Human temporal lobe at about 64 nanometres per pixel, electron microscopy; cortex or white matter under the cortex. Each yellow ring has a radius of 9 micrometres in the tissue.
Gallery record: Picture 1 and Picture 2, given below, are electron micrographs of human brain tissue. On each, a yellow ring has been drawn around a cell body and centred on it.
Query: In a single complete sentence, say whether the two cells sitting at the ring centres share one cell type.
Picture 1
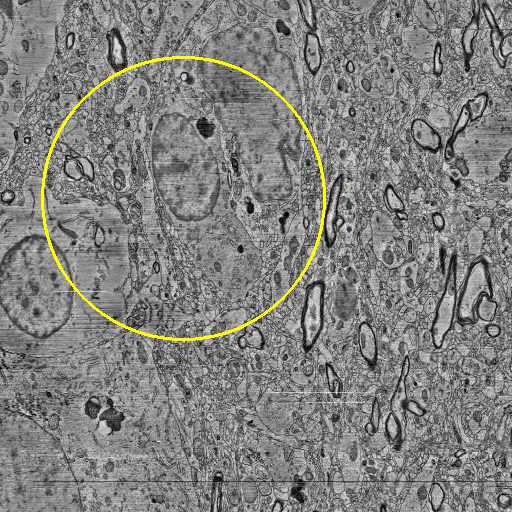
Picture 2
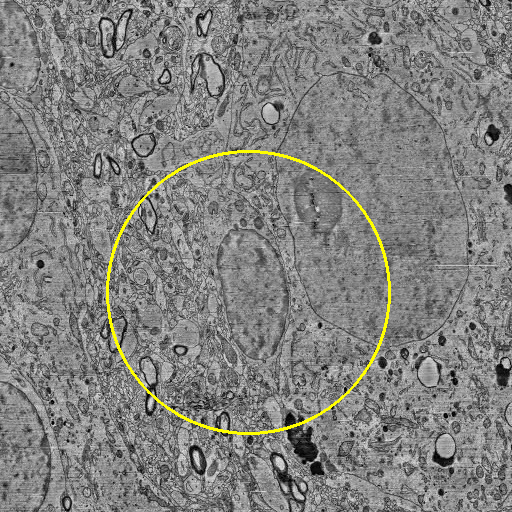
Yes, in both pictures the cell at the ring's centre is of one and the same type.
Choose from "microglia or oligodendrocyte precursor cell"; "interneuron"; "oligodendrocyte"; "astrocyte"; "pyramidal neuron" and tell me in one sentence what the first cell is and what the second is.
The ring centre holds an oligodendrocyte in each of the two pictures.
